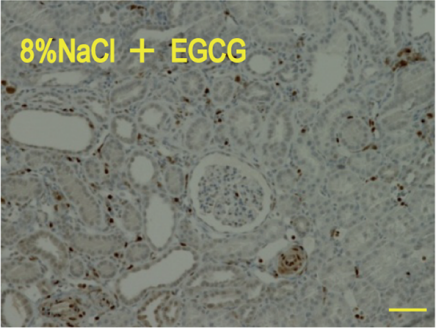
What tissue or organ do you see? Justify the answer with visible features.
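A round glomerular tuft sits inside a capsule in the center. Many tubule cross-sections lined by cuboidal epithelium surround it. Some tubular lumens are wide and empty. The answer: kidney.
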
